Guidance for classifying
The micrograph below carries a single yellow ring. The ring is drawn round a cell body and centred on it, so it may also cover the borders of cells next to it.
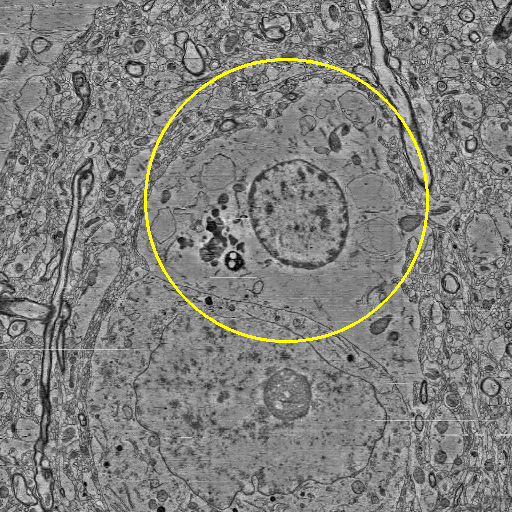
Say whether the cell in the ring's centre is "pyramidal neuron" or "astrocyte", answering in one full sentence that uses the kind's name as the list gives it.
Within the yellow ring, an astrocyte is the cell whose body sits at the centre.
